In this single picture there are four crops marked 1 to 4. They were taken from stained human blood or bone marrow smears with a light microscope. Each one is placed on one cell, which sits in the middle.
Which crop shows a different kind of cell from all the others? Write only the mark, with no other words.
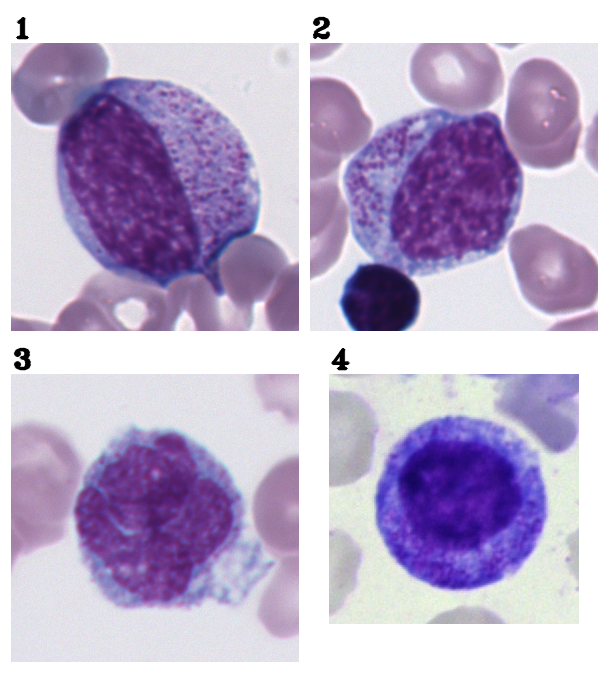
3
